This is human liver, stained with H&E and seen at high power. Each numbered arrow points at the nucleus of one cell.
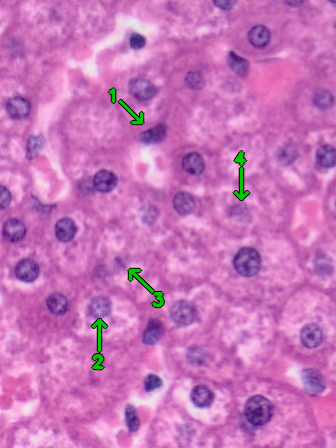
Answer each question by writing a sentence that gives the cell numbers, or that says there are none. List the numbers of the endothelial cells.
Without exception, the numbered cells are not endothelial cells.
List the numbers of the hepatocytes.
The cells that the numbers 2, 3 and 4 belong to are hepatocytes.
